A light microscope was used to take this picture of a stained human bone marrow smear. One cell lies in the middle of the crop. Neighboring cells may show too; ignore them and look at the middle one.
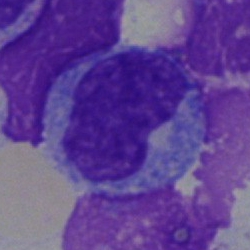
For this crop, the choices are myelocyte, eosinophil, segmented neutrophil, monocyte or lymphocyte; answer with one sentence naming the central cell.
The center cell of this crop is a monocyte.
